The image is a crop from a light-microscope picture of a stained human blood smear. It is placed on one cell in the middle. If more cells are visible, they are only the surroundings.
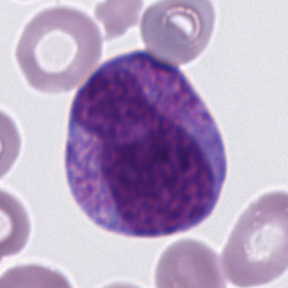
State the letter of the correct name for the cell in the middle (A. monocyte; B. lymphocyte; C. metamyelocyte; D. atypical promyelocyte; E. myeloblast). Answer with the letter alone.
D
